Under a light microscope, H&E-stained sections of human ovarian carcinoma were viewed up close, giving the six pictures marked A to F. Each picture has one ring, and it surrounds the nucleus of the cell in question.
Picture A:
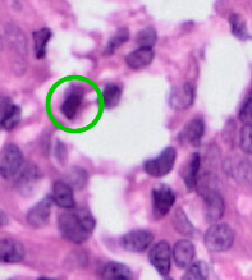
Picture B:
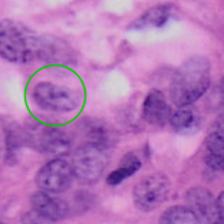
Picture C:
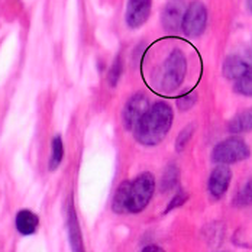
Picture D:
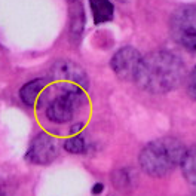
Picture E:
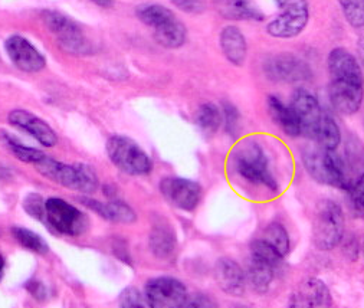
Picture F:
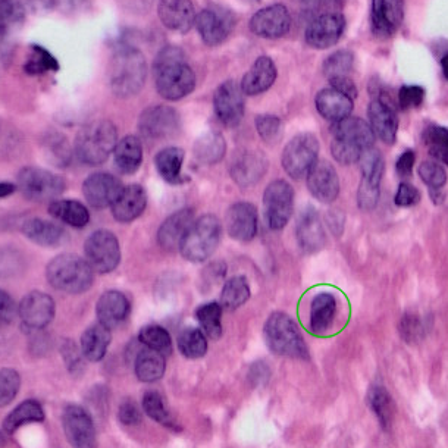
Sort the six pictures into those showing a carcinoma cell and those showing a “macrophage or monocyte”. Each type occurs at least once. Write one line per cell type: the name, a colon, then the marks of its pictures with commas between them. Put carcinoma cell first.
carcinoma cell: A, C, D, E
macrophage or monocyte: B, F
